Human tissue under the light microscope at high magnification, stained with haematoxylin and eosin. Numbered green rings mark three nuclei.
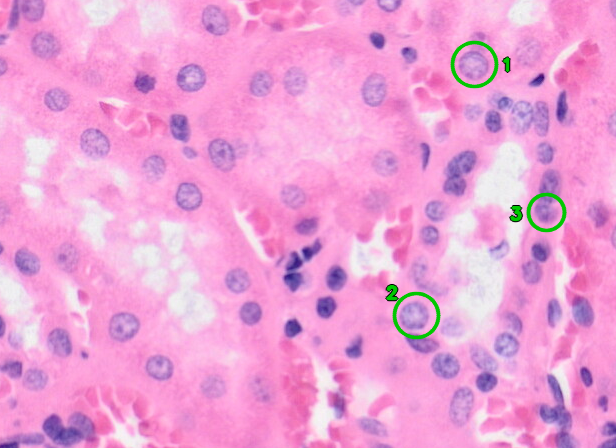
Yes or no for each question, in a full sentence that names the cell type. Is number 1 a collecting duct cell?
No, cell 1 is identified not as a collecting duct cell but as a proximal tubule cell.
